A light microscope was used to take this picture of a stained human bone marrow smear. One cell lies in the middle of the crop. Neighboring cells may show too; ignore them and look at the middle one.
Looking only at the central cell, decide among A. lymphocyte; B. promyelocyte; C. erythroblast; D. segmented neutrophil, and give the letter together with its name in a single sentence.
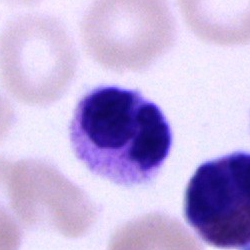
Option D correctly names the cell in the middle as a segmented neutrophil.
